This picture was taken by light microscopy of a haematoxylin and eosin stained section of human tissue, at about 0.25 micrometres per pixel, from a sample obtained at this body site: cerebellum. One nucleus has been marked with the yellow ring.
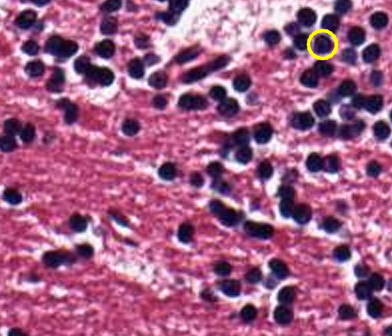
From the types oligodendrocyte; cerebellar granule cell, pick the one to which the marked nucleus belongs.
cerebellar granule cell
